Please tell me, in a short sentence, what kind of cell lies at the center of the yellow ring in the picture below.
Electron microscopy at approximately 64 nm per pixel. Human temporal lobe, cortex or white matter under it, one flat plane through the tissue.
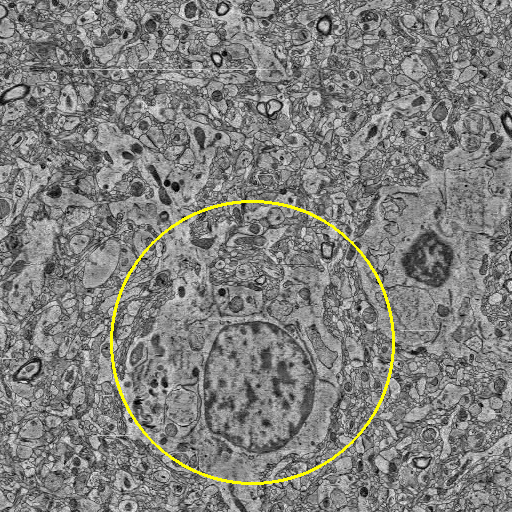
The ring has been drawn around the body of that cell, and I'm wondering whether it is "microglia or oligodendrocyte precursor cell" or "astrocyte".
The cell at the center of the ring is an astrocyte.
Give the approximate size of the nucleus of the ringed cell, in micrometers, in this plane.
The nucleus appears about 8 micrometres across in this plane.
